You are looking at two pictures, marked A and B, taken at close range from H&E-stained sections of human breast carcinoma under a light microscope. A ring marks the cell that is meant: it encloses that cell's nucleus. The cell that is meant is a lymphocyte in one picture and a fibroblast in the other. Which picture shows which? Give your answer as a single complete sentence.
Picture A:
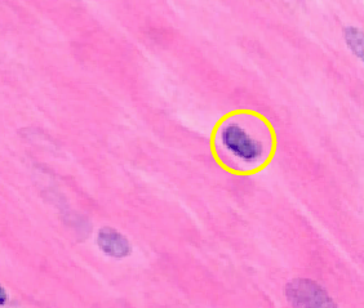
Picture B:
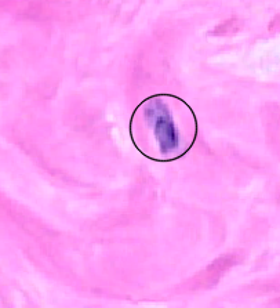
It is picture A that shows a lymphocyte, and picture B that shows a fibroblast.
